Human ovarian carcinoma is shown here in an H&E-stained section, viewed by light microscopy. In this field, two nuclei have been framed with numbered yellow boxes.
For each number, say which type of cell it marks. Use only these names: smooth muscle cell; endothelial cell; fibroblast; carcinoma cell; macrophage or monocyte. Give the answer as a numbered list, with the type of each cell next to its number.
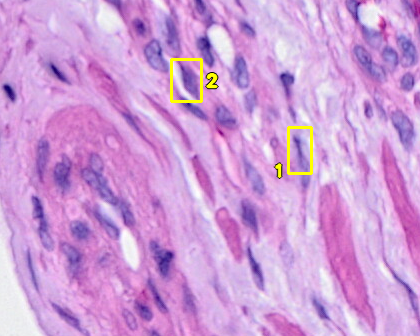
1. fibroblast
2. endothelial cell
